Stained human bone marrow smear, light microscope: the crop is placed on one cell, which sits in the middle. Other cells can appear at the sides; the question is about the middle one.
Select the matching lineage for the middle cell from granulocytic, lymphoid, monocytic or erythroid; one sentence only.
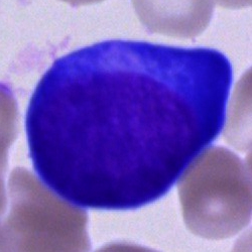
The central cell in this crop is categorized under the erythroid lineage.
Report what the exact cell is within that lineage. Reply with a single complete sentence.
The cell in the exact centre of the crop is a proerythroblast.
